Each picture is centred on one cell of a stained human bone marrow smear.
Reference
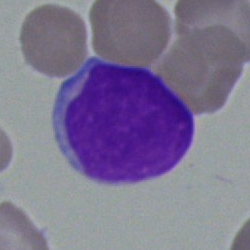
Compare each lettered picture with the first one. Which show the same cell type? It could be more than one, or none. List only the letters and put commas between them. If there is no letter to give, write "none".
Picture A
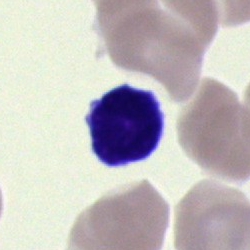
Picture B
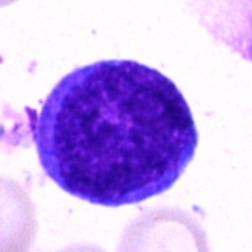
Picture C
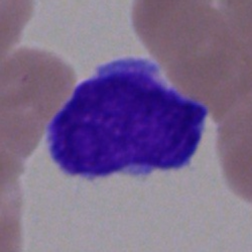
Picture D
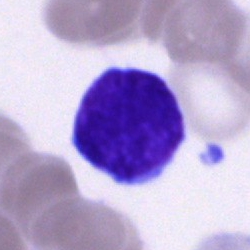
B, C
